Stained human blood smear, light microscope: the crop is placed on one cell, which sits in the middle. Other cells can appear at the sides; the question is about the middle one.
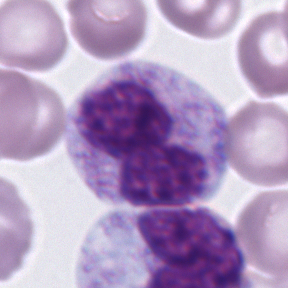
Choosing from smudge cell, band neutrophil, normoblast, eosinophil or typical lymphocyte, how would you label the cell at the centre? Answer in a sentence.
Here the centrally located cell is a band neutrophil.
